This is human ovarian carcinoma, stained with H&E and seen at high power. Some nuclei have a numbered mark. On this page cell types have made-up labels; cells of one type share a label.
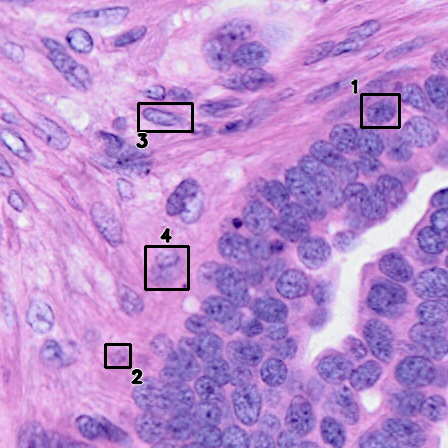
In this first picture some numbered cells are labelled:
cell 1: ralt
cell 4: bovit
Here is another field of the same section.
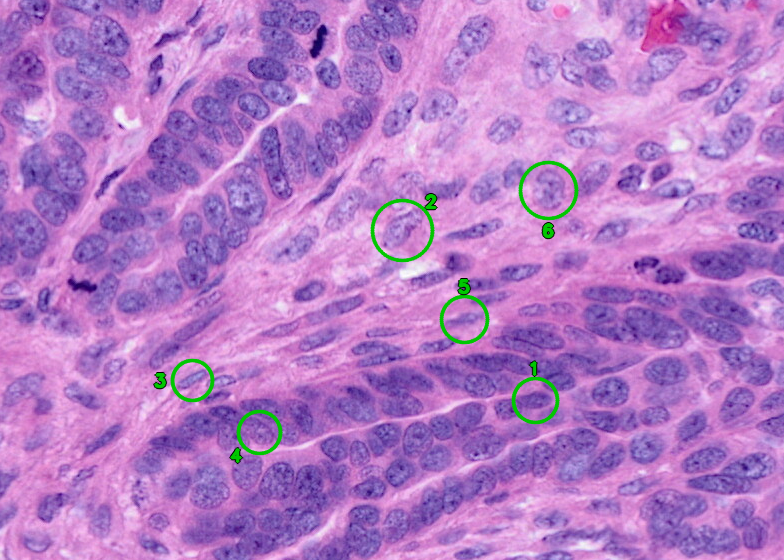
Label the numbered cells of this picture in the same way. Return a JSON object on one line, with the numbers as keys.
{"1": "ralt", "2": "bovit", "3": "bovit", "4": "ralt", "5": "bovit", "6": "bovit"}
